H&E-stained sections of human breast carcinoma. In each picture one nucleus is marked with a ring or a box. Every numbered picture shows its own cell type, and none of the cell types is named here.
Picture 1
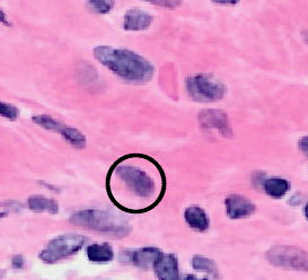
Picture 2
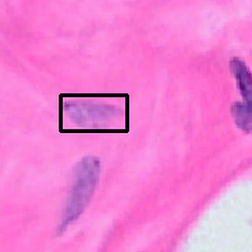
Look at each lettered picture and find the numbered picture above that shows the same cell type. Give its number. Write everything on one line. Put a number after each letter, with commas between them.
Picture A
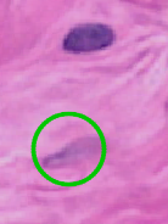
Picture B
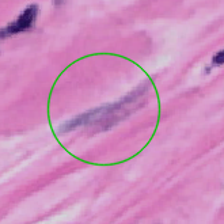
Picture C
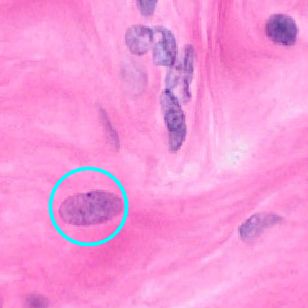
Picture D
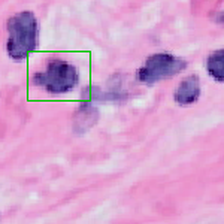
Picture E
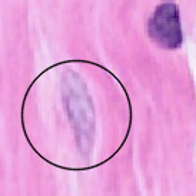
A 2, B 2, C 2, D 1, E 2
